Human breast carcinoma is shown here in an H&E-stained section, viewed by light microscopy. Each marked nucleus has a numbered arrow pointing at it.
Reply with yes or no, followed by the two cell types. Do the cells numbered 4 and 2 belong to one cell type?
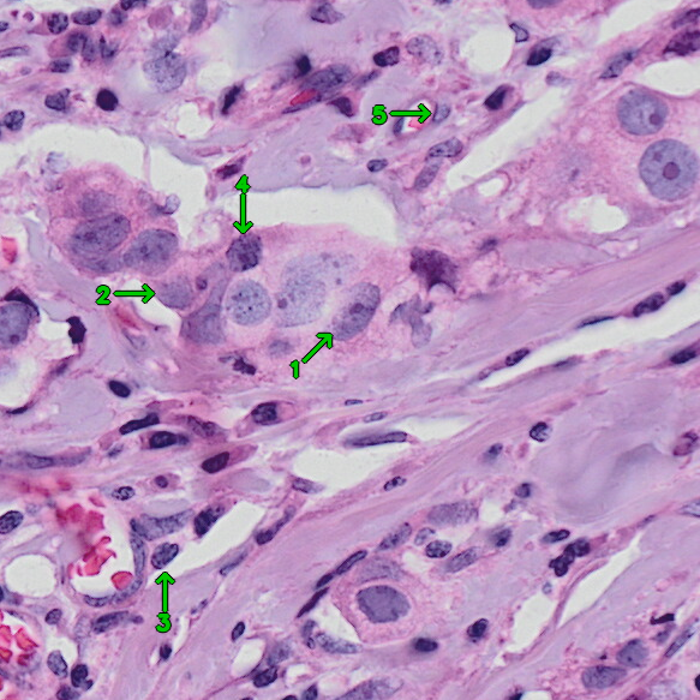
Yes, the two numbered cells 4 and 2 are both carcinoma cells.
